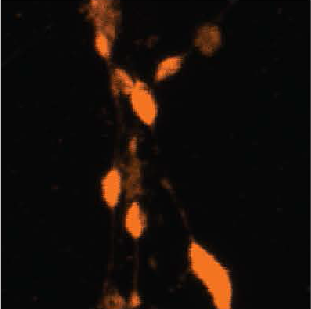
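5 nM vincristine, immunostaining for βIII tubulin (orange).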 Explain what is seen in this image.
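These are neuronal axons shown in orange, in a state of axonal degeneration. Instead of smooth continuous processes, the axons are broken into a chain of round and oval swellings of varying size. The swellings are joined by thin, faint segments, and some appear detached from their neighbours.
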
